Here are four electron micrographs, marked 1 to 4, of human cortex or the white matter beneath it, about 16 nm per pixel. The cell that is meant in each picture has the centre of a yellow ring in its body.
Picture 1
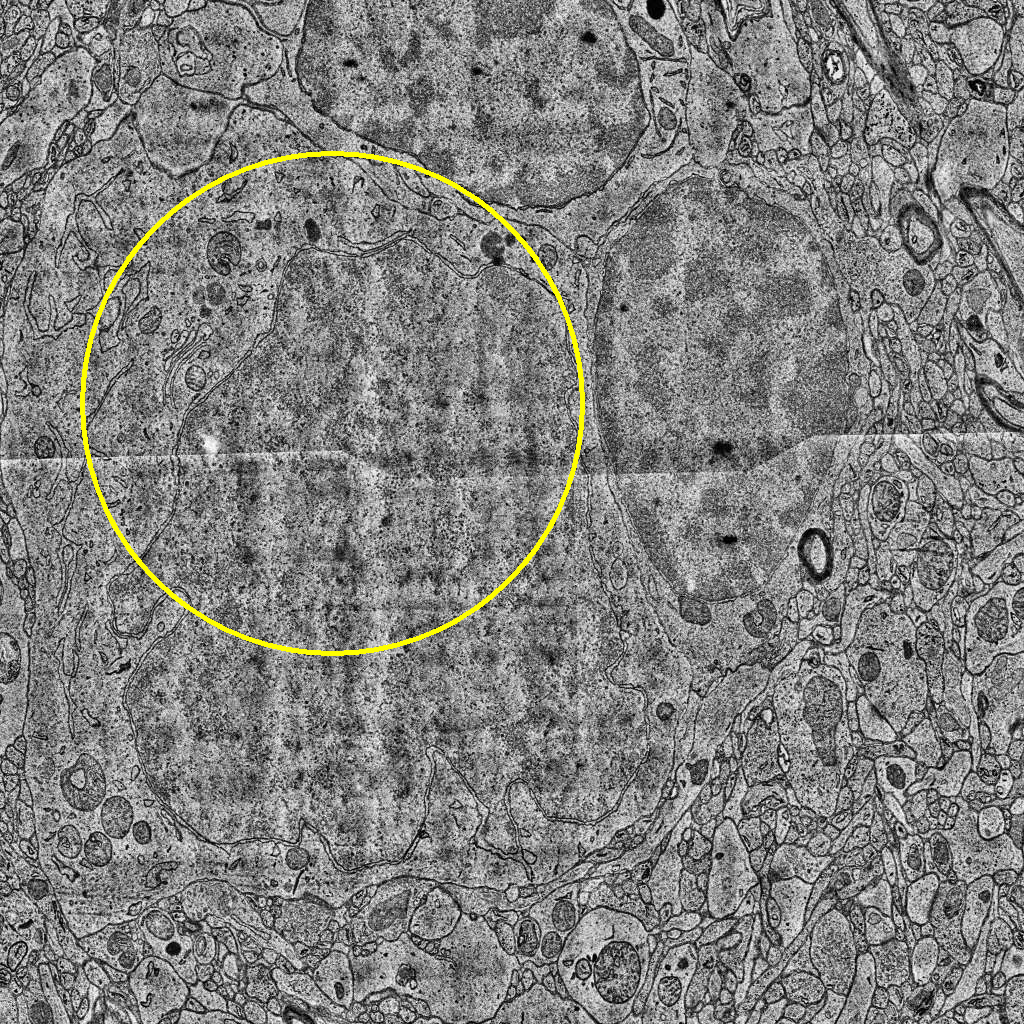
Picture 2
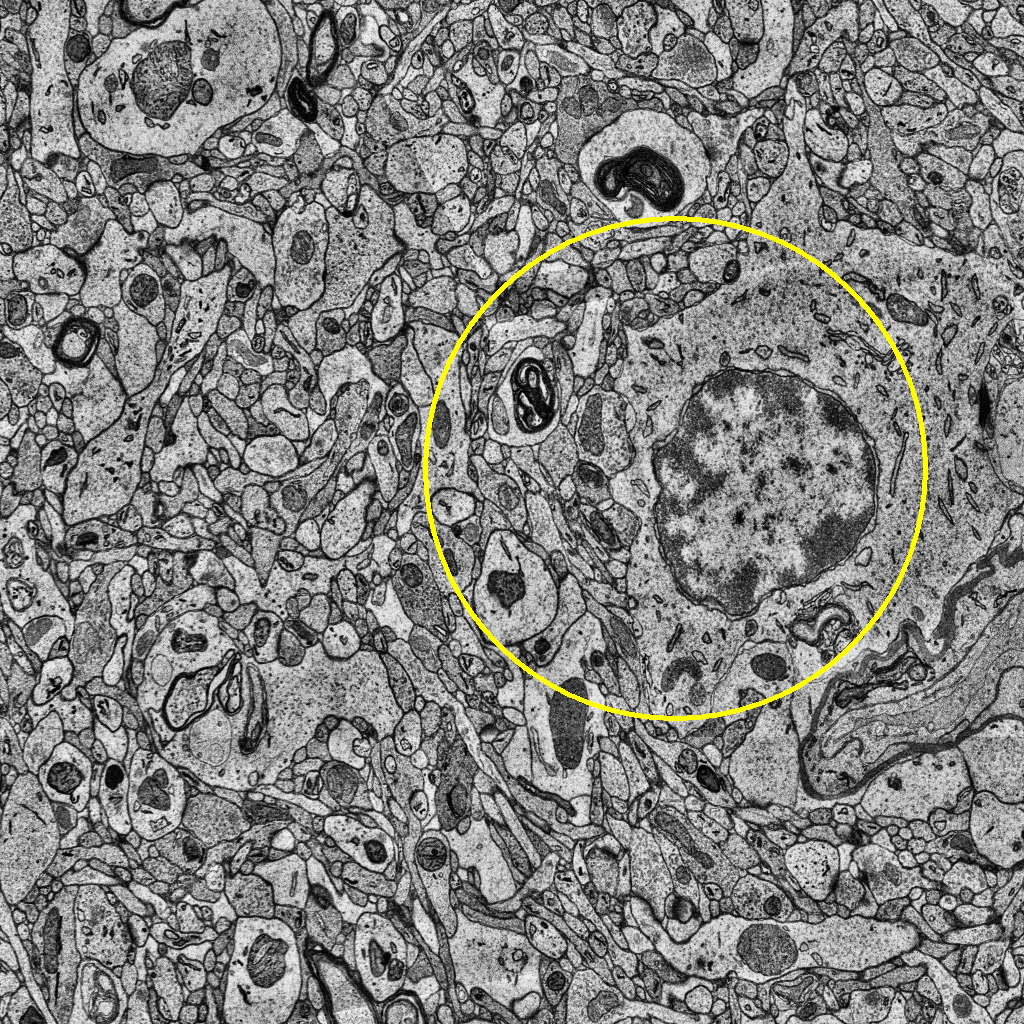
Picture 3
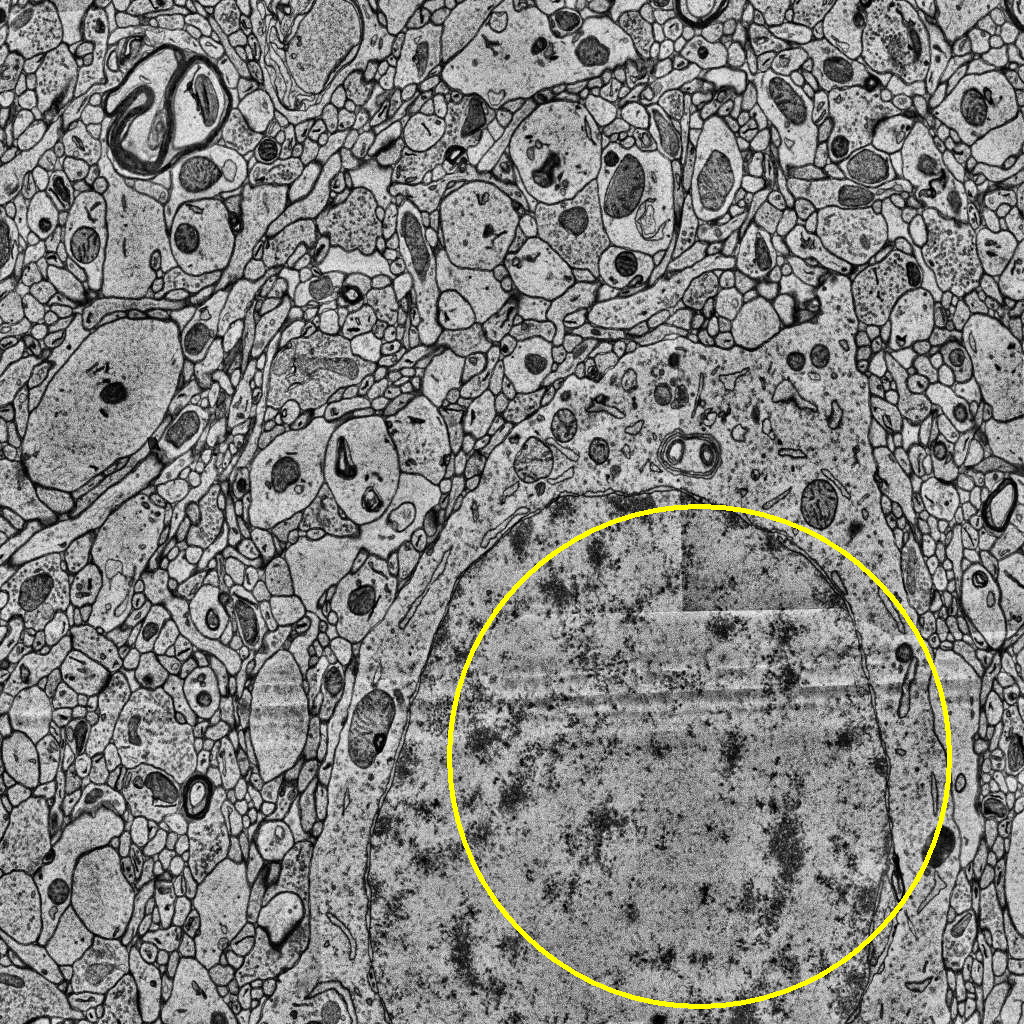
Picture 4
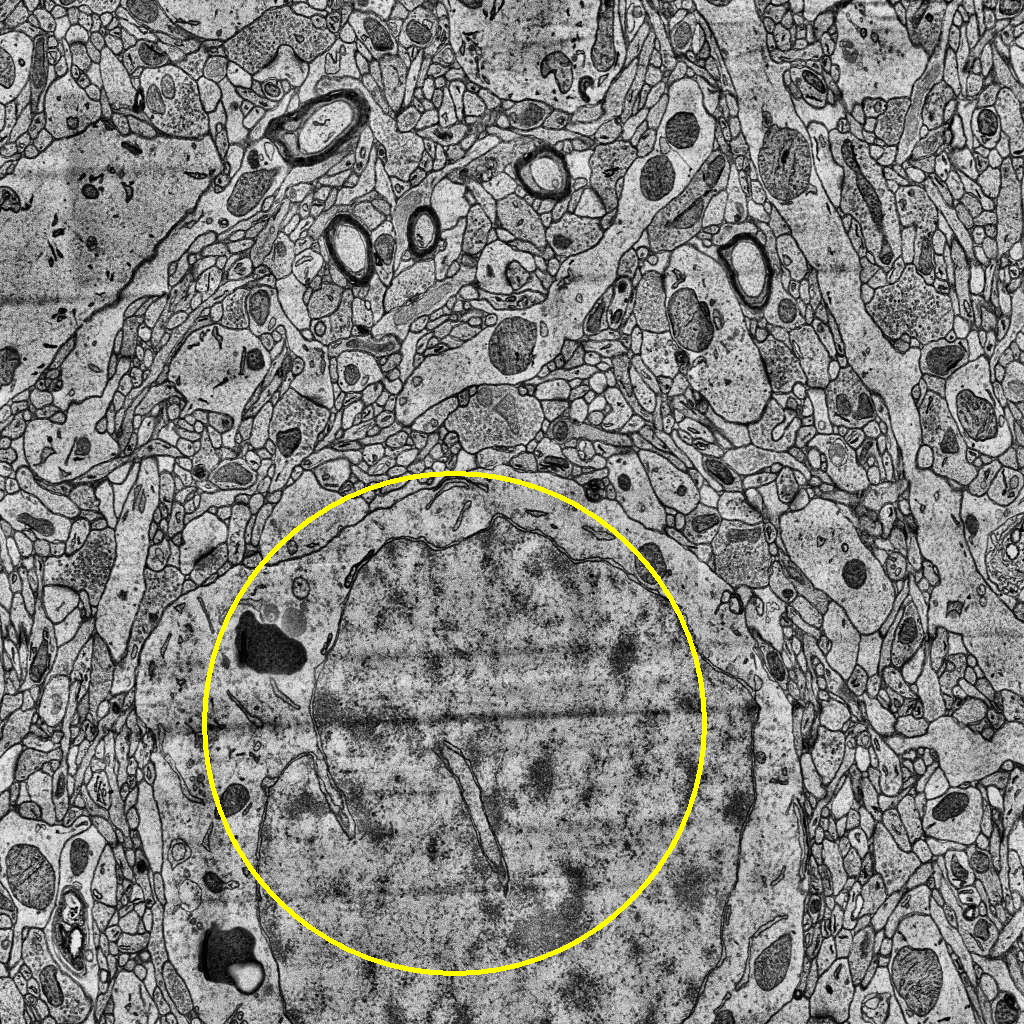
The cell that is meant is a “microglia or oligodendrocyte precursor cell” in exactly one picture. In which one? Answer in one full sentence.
The cell in picture 2 is the “microglia or oligodendrocyte precursor cell”.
